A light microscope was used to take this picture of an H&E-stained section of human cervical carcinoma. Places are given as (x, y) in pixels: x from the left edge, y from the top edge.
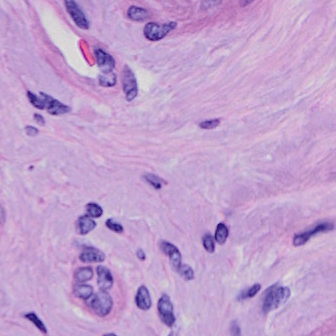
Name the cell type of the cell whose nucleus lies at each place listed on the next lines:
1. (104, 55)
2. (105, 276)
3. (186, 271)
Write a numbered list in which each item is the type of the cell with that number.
1. endothelial cell
2. endothelial cell
3. fibroblast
